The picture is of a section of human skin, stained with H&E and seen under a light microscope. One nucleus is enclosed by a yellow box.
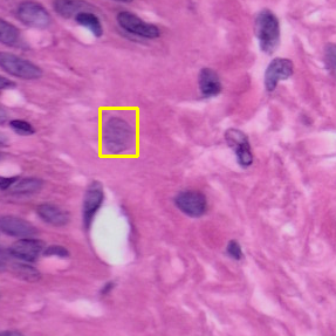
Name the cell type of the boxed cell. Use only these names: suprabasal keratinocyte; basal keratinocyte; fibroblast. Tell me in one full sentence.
In the tissue at hand, the boxed cell is a fibroblast.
